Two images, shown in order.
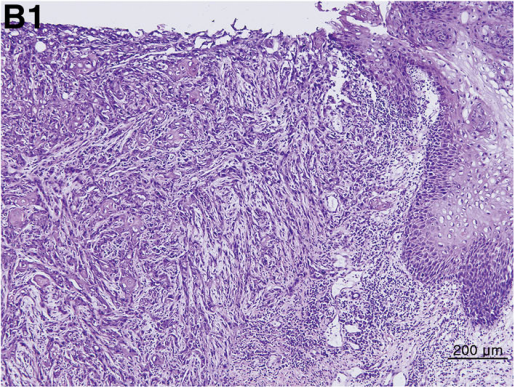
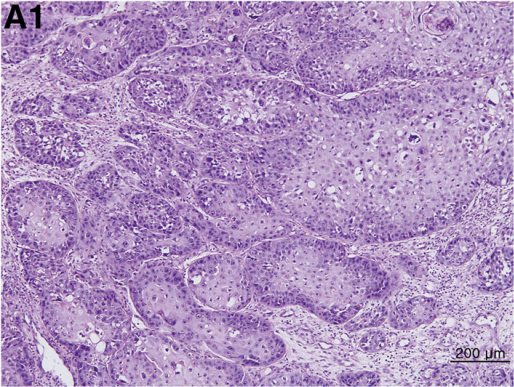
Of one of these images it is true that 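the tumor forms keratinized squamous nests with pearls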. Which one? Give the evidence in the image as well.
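First image: diffuse sheets of spindle and irregular cells, no keratinized nests.
Answer: the second image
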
